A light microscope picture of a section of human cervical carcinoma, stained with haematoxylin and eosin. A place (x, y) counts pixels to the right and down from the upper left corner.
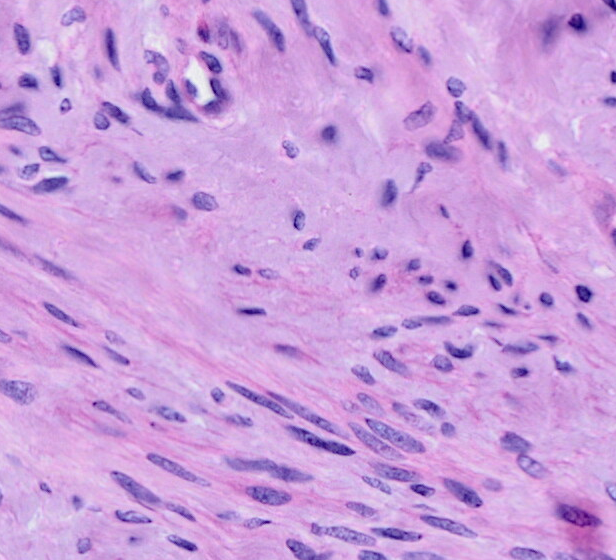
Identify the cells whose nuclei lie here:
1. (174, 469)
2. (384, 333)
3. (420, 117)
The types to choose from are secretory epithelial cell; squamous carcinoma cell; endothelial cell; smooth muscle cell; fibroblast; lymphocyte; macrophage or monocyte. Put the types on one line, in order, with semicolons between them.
smooth muscle cell; fibroblast; fibroblast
